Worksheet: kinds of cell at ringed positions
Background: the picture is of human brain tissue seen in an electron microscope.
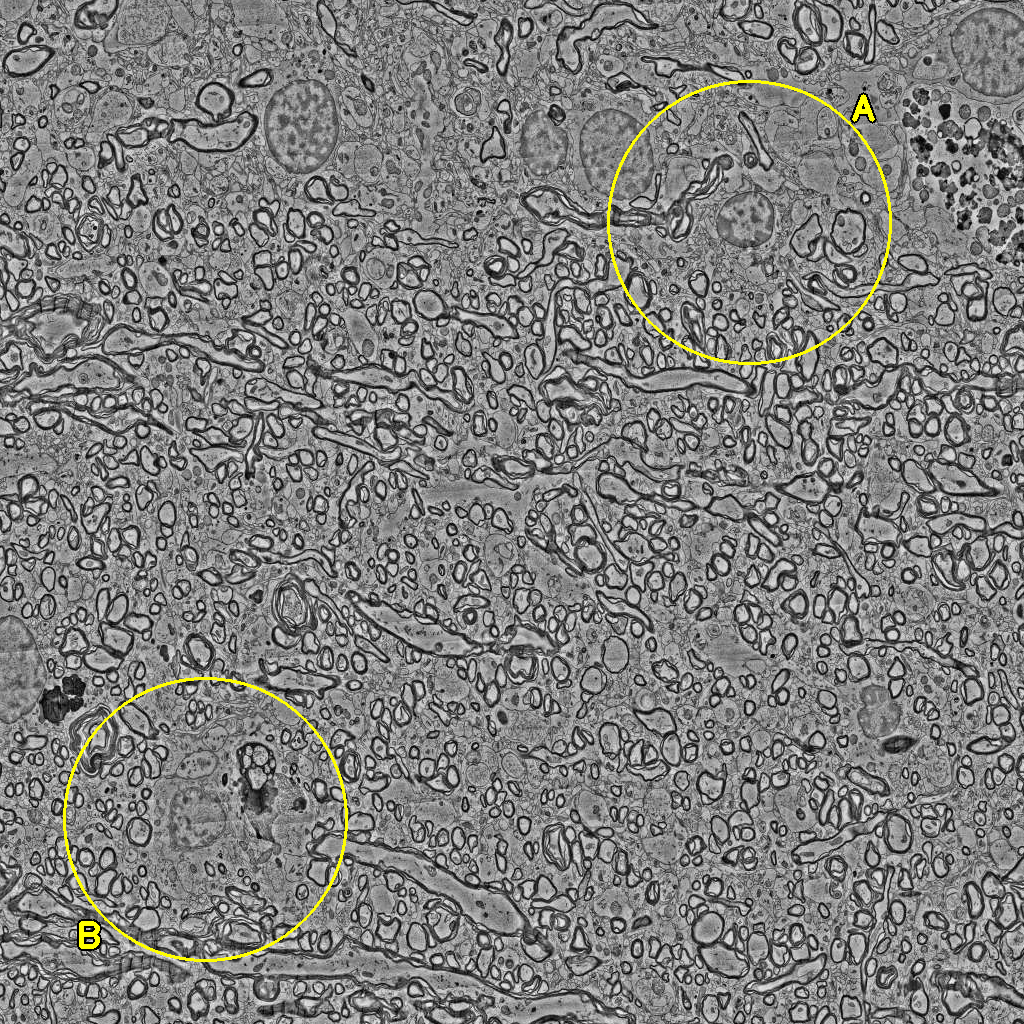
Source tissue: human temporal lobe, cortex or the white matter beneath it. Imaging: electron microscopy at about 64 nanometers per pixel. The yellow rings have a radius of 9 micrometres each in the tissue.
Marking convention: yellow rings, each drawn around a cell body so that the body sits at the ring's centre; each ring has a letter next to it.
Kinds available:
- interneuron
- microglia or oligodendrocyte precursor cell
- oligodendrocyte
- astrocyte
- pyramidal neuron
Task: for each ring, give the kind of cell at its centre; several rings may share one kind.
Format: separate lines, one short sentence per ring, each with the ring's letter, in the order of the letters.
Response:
Ring A is drawn around a microglial cell or oligodendrocyte precursor cell.
Ring B is drawn around an astrocyte.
